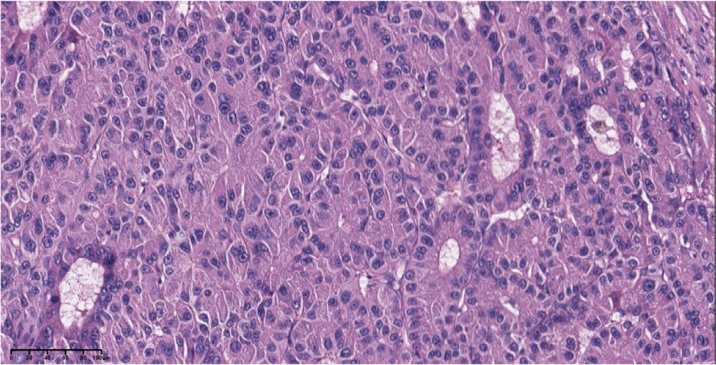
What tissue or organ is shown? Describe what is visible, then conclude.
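Large polygonal cells in solid sheets and thick trabeculae. Abundant pink cytoplasm and round nuclei with visible nucleoli. Scattered round pseudoglandular spaces between the cells.
Hepatocellular carcinoma.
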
